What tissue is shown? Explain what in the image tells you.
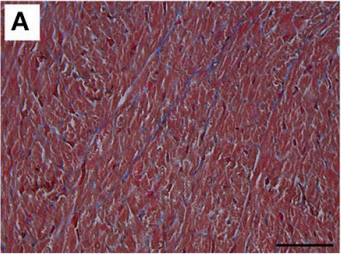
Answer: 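Densely packed red-stained muscle fibers fill the panel. Fine blue strands lie between the fibers.
Answer: myocardium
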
